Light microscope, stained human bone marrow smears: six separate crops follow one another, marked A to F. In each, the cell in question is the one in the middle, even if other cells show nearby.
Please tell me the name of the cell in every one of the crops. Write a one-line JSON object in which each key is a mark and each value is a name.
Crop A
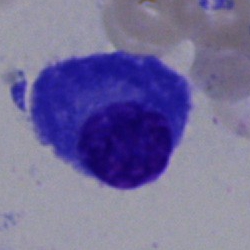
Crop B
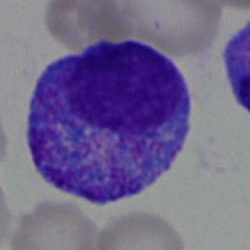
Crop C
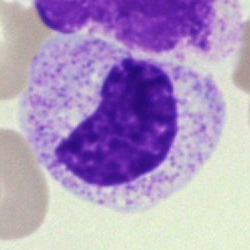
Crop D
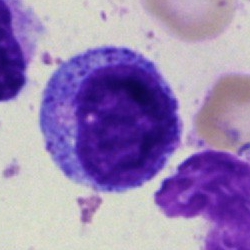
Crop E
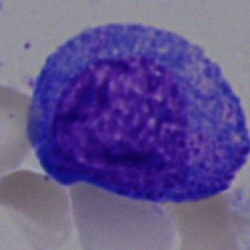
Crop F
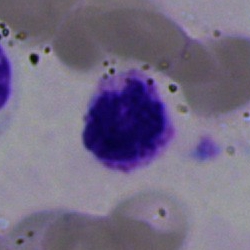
{"A": "plasma cell", "B": "promyelocyte", "C": "metamyelocyte", "D": "myelocyte", "E": "promyelocyte", "F": "basophil"}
